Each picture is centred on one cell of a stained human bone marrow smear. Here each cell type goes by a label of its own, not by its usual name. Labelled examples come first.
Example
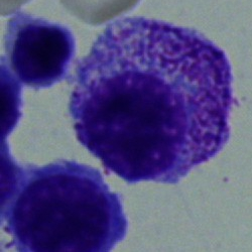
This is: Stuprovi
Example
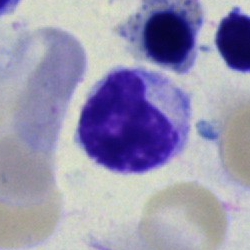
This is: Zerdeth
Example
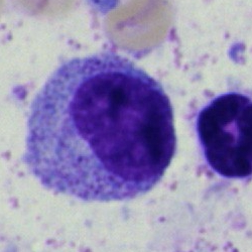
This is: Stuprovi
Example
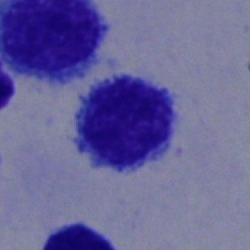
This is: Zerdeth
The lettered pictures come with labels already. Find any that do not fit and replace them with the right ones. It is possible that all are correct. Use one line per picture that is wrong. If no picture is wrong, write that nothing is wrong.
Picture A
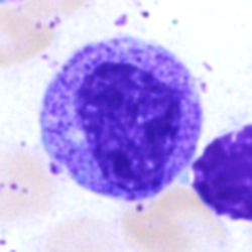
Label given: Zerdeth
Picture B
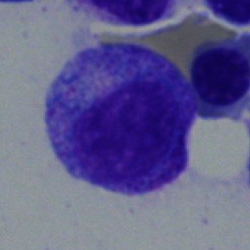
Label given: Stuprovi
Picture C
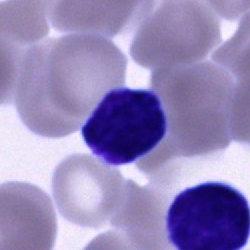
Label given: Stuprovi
A: Stuprovi, not Zerdeth
C: Zerdeth, not Stuprovi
